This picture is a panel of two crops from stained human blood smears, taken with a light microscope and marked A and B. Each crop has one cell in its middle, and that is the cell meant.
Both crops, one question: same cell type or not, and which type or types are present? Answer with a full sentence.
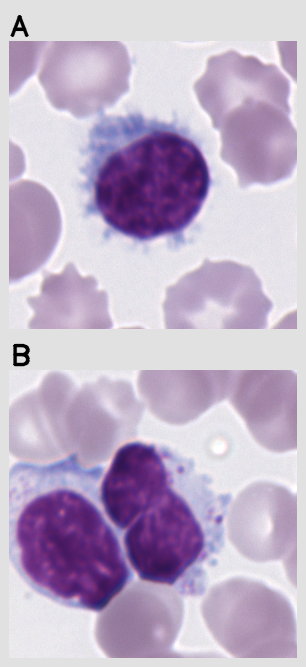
No, what crop A shows is a hairy cell, and what crop B shows is a large granular lymphocyte.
